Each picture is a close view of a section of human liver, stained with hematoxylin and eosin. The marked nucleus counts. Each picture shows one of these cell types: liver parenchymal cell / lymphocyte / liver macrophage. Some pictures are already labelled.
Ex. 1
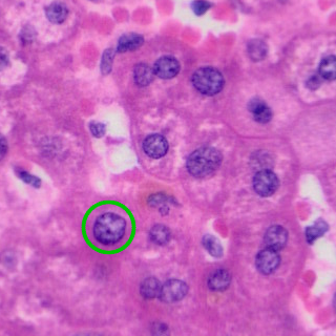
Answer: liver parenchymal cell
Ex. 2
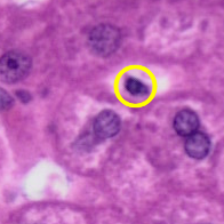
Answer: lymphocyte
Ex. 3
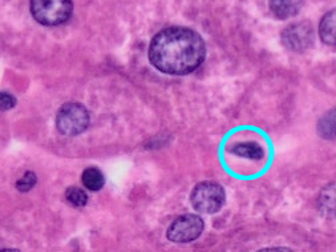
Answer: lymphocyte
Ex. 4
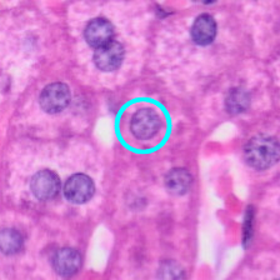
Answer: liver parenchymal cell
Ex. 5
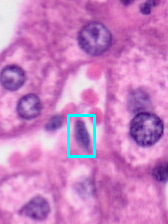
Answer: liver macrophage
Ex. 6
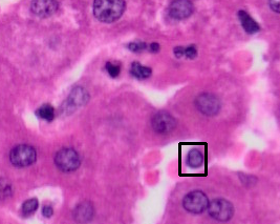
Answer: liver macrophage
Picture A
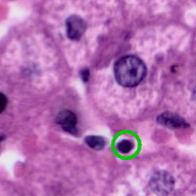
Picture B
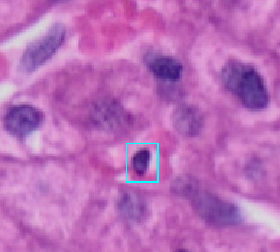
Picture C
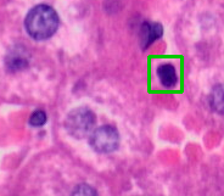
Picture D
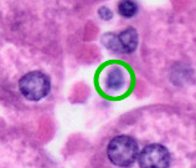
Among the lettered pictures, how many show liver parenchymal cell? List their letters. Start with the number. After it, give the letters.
0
